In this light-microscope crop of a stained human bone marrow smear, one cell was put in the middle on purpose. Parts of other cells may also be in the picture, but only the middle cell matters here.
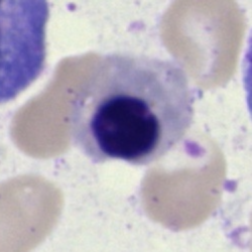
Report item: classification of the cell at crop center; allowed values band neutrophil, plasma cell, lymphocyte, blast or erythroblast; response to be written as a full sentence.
The middle cell in this particular crop is an erythroblast.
